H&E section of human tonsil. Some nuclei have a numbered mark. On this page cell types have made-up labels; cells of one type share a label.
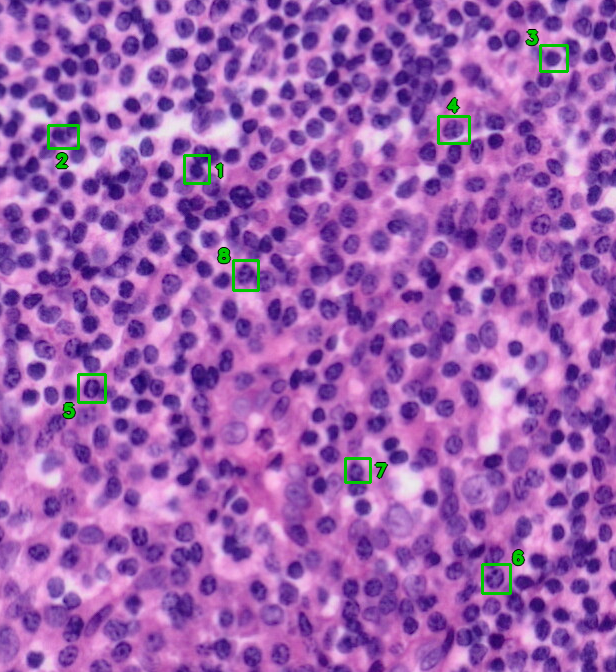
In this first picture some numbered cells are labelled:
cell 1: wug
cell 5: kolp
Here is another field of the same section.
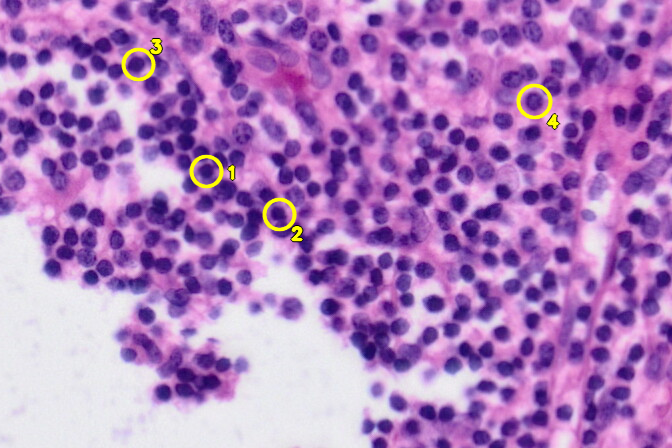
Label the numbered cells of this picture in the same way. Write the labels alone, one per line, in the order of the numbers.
wug
wug
wug
kolp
